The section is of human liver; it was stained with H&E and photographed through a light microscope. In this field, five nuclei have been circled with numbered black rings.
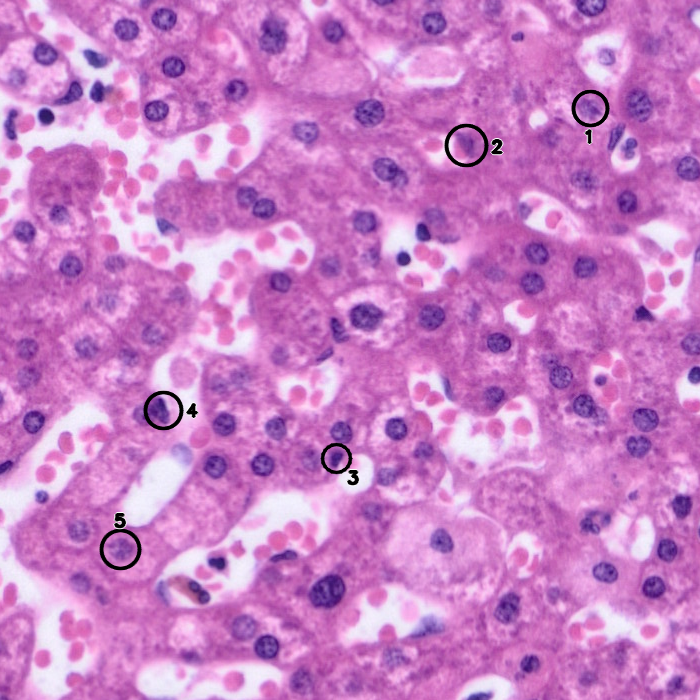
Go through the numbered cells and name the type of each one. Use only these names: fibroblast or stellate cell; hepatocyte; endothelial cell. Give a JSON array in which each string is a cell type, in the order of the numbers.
["hepatocyte", "endothelial cell", "fibroblast or stellate cell", "fibroblast or stellate cell", "hepatocyte"]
